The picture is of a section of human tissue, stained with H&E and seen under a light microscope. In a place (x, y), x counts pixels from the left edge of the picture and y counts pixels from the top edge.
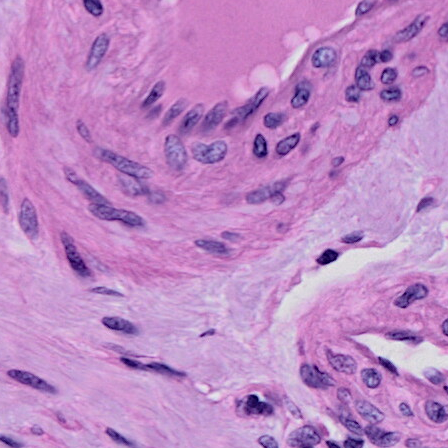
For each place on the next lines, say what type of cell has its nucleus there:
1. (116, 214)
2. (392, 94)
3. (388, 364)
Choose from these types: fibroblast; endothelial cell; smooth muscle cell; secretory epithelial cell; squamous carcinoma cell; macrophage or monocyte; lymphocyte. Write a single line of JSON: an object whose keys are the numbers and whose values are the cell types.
{"1": "smooth muscle cell", "2": "smooth muscle cell", "3": "endothelial cell"}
